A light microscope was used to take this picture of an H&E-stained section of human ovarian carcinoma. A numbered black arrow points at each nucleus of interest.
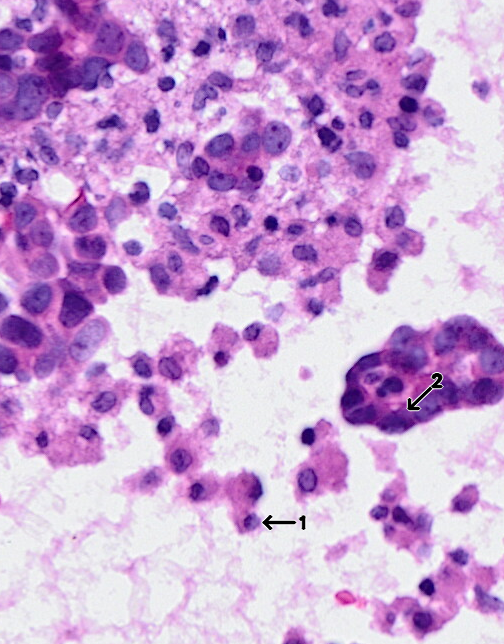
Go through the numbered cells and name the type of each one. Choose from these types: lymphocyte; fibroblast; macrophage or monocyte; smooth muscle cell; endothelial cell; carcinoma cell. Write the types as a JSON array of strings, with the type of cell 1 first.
["macrophage or monocyte", "carcinoma cell"]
